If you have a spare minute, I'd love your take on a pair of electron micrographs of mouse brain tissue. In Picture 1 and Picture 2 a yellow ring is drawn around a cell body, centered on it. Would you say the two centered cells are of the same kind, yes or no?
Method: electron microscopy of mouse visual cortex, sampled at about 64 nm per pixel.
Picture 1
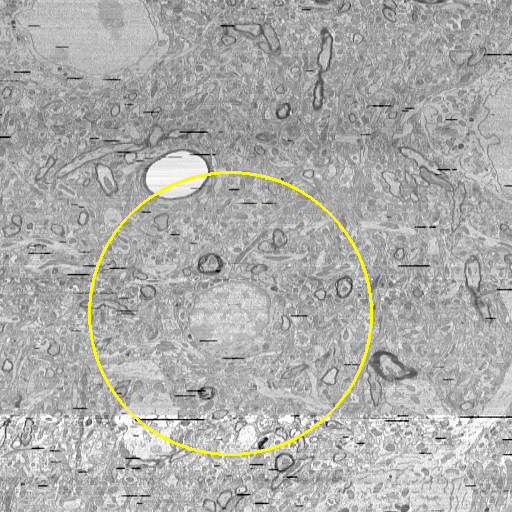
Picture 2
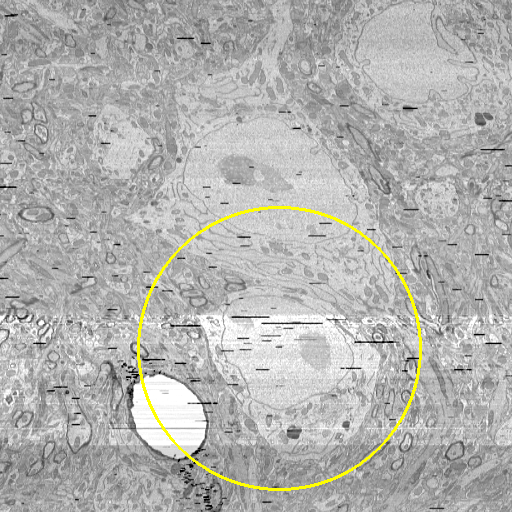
no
